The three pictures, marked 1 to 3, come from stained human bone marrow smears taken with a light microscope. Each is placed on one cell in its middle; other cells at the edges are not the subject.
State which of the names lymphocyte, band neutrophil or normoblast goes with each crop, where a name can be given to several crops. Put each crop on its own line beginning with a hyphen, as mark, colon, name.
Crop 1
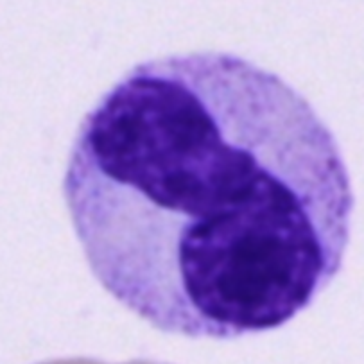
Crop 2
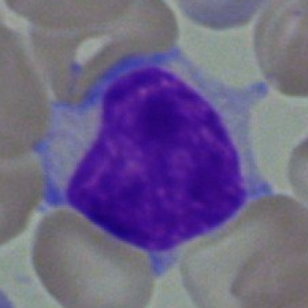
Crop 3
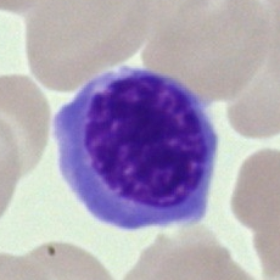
- 1: band neutrophil
- 2: lymphocyte
- 3: normoblast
